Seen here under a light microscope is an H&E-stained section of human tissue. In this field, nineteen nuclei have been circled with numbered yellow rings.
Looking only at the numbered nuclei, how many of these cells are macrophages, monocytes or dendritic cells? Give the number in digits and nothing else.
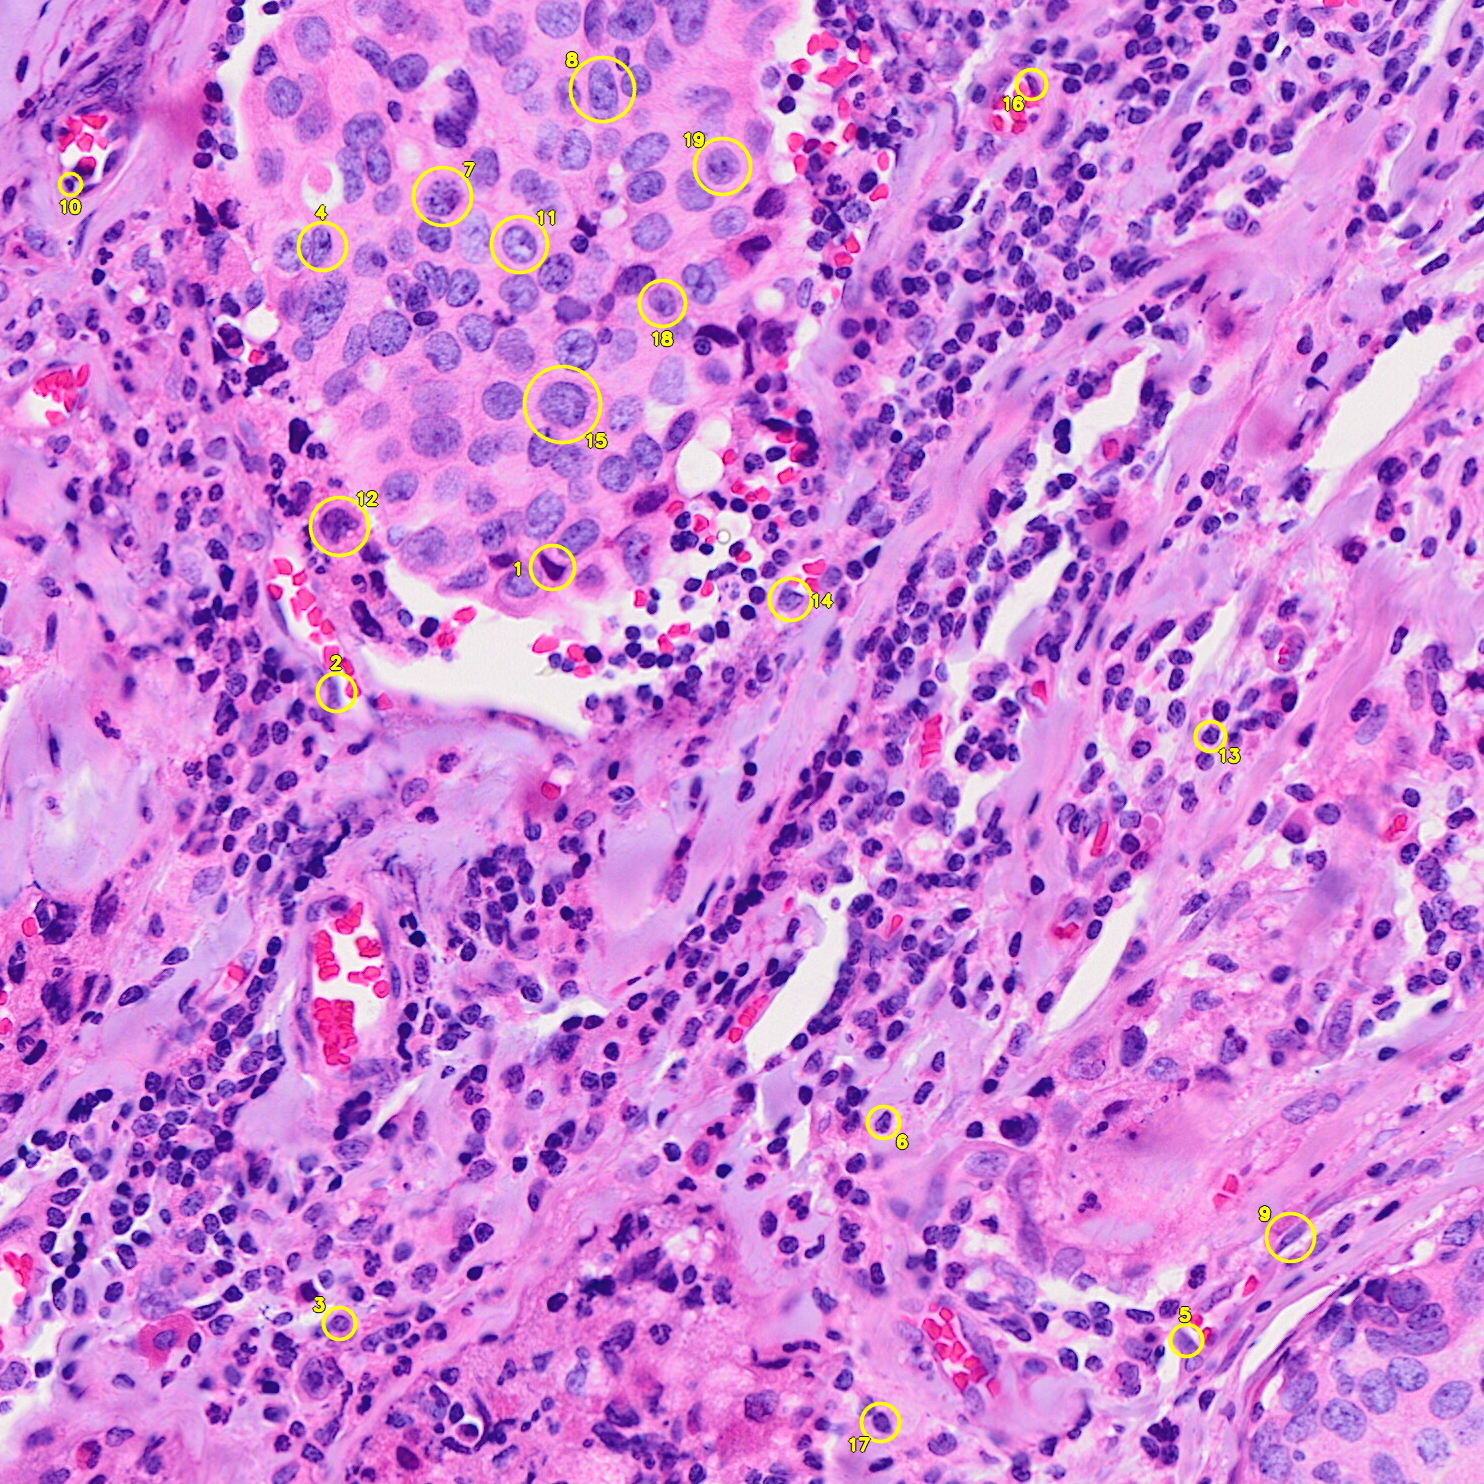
1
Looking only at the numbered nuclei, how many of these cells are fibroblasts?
1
